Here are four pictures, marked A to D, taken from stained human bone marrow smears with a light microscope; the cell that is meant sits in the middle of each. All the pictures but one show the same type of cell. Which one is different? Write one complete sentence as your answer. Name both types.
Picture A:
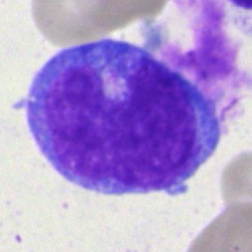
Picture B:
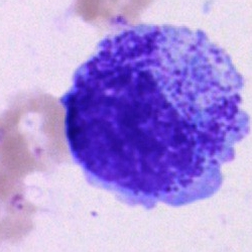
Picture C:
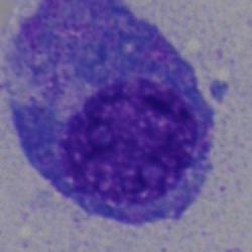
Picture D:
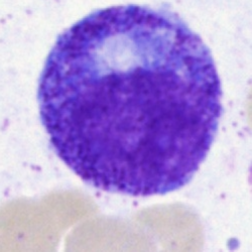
Picture A differs, because its cell is a monocyte and the rest are promyelocytes.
